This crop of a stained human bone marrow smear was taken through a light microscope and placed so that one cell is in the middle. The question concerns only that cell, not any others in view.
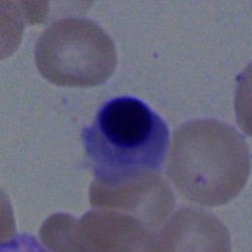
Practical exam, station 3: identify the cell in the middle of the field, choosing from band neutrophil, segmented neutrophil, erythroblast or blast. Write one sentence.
The middle position in this crop is taken by an erythroblast.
